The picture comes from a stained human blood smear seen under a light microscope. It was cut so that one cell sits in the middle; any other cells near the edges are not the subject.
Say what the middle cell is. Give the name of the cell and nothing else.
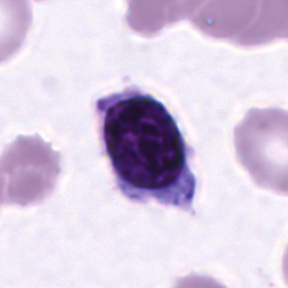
plasma cell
